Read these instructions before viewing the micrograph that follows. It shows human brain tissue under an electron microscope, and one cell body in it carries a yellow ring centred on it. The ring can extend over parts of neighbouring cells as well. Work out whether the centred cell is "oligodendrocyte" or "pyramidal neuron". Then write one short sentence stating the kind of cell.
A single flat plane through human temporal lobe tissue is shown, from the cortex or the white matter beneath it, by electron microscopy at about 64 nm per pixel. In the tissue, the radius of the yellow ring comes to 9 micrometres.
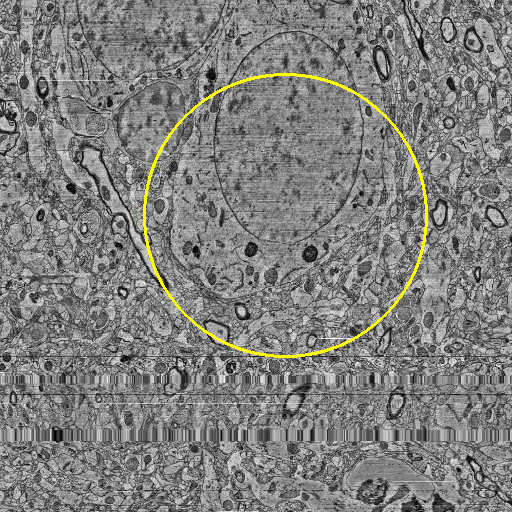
The ringed cell is a pyramidal neuron.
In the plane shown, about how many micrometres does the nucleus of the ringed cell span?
The nucleus comes to roughly 14 by 10 micrometres in this plane.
